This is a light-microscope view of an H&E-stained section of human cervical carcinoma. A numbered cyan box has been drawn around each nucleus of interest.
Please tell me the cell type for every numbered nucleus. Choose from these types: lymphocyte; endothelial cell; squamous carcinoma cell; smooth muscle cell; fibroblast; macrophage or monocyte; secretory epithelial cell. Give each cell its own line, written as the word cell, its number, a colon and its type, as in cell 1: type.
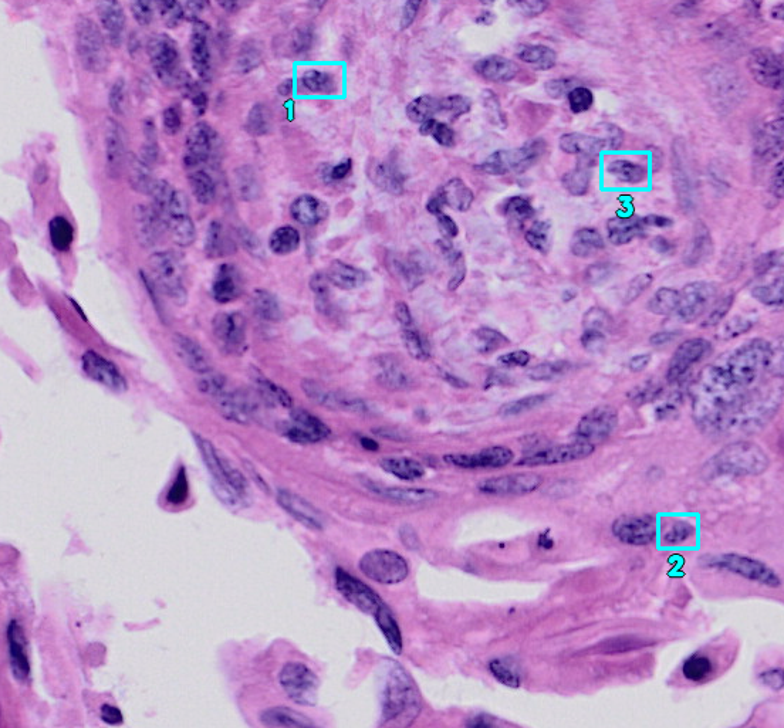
cell 1: lymphocyte
cell 2: squamous carcinoma cell
cell 3: lymphocyte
